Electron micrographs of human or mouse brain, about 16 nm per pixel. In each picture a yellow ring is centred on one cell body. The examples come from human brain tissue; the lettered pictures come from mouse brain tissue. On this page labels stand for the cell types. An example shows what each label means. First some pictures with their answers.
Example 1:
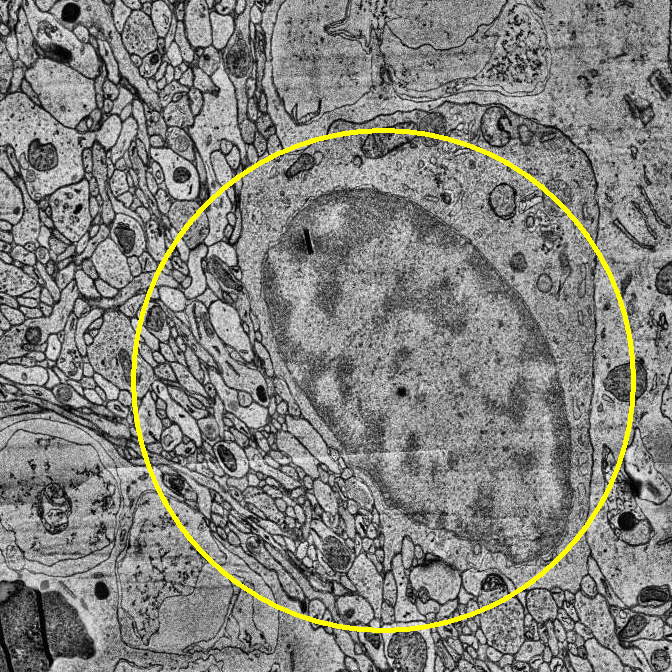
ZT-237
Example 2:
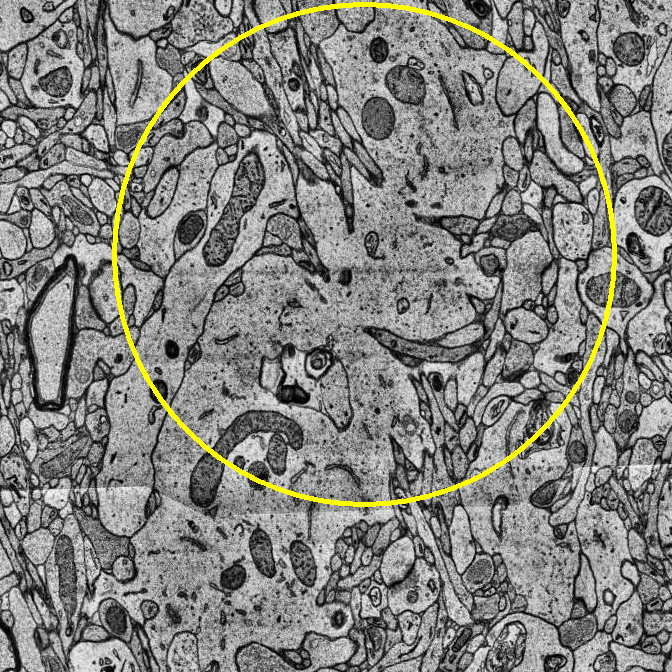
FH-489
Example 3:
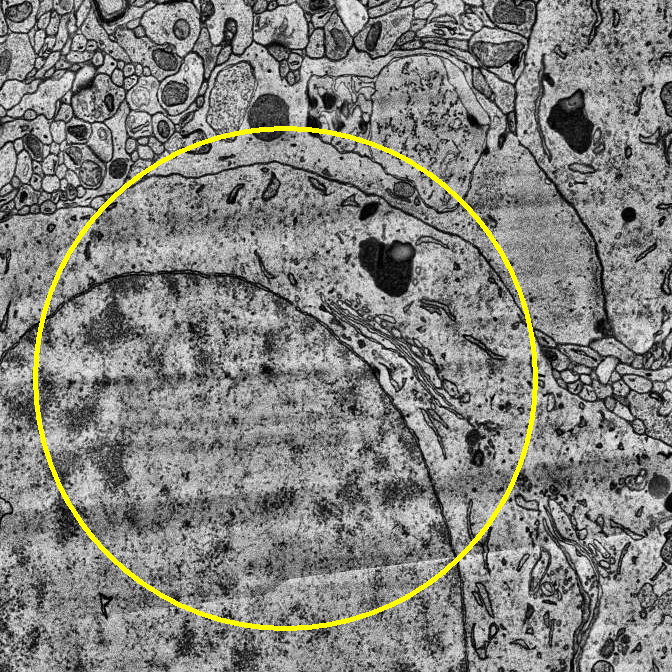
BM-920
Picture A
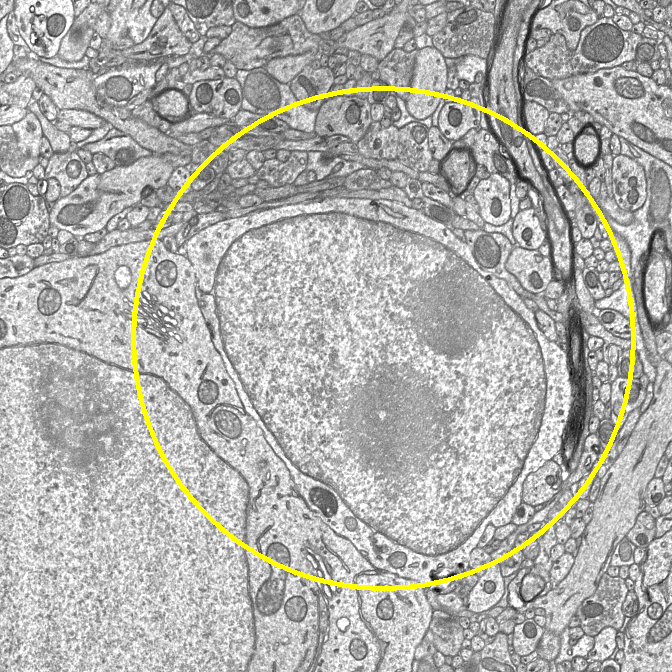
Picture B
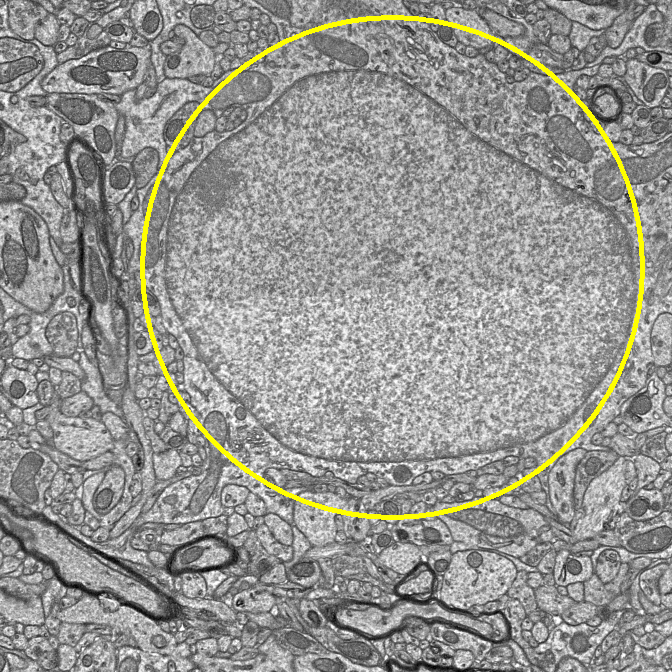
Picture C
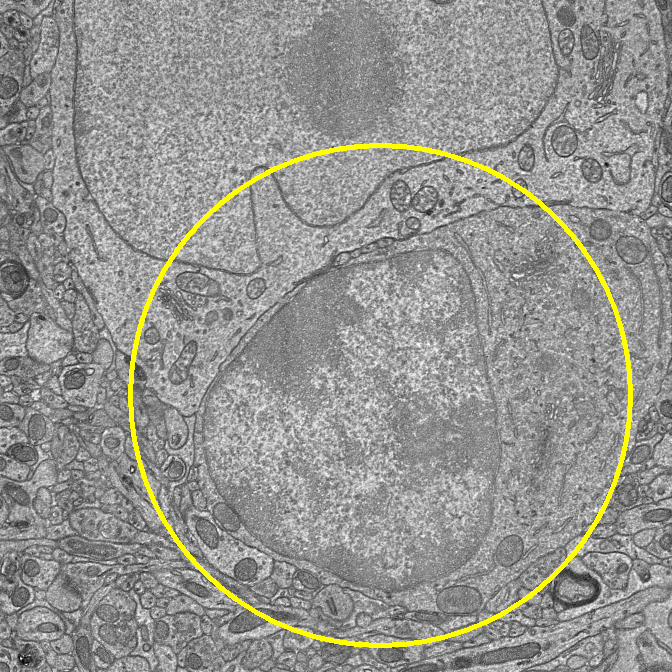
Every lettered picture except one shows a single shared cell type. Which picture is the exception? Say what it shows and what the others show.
B: FH-489; all the others: ZT-237.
